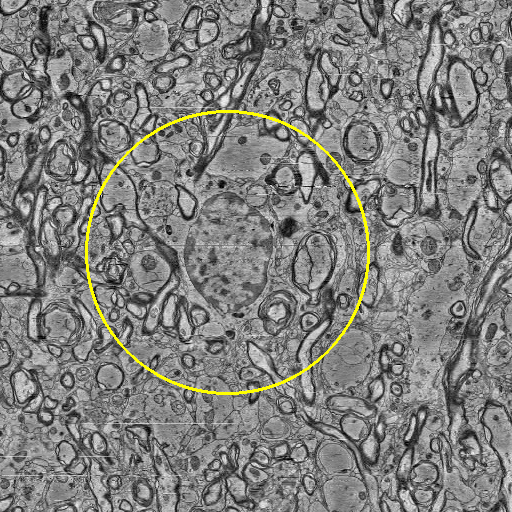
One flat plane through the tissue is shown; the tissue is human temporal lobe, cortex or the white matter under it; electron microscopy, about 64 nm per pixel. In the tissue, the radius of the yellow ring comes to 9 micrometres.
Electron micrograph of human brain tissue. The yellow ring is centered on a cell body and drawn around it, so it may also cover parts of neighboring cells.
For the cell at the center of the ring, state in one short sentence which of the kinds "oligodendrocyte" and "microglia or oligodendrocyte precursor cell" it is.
This ring is centered on a microglial cell or oligodendrocyte precursor cell.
